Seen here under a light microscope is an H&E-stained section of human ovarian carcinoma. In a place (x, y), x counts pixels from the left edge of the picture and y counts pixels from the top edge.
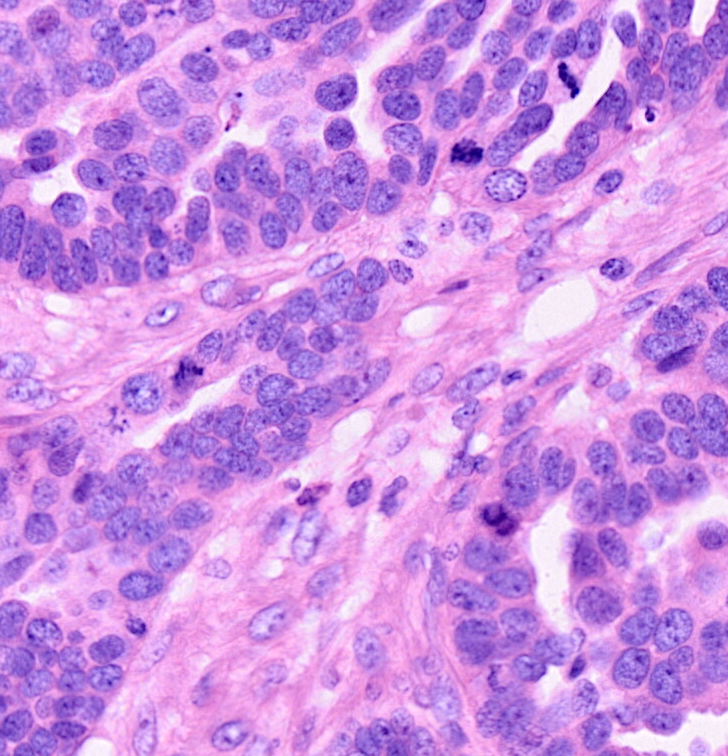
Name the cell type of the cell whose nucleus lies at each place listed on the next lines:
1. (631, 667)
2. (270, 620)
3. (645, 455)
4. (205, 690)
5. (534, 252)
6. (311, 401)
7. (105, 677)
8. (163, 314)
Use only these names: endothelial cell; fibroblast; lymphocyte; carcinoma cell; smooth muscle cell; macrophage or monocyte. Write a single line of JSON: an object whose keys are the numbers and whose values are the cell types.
{"1": "carcinoma cell", "2": "fibroblast", "3": "carcinoma cell", "4": "fibroblast", "5": "fibroblast", "6": "carcinoma cell", "7": "carcinoma cell", "8": "fibroblast"}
